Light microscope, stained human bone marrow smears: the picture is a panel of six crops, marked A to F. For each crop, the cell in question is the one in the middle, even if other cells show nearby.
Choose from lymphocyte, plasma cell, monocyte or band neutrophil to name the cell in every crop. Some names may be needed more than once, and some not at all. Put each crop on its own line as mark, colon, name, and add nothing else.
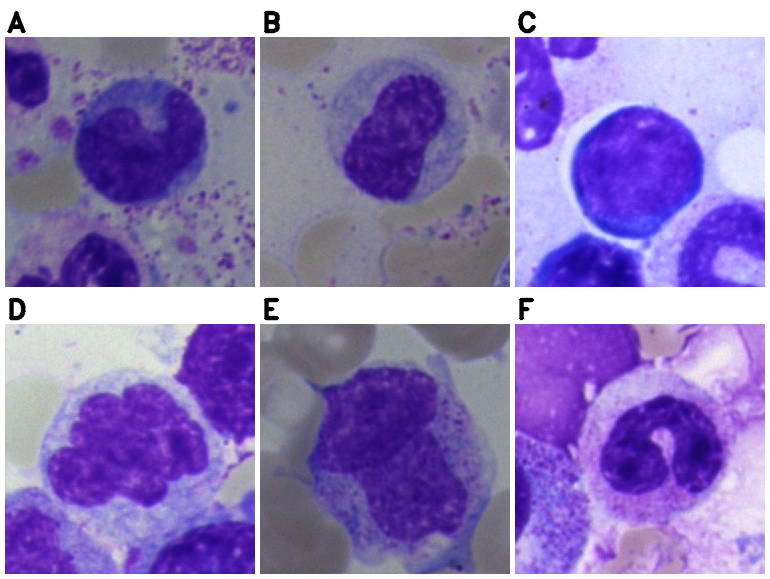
A: monocyte
B: band neutrophil
C: lymphocyte
D: monocyte
E: monocyte
F: band neutrophil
